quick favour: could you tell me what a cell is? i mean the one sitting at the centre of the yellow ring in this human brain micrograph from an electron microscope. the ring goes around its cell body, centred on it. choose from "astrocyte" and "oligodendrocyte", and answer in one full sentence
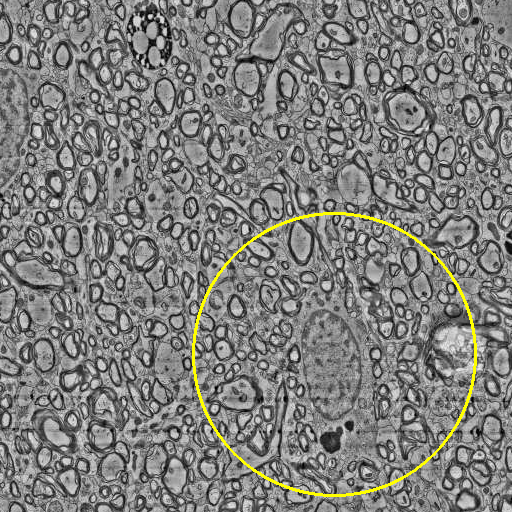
That's an oligodendrocyte, the cell sitting at the centre of the yellow ring.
